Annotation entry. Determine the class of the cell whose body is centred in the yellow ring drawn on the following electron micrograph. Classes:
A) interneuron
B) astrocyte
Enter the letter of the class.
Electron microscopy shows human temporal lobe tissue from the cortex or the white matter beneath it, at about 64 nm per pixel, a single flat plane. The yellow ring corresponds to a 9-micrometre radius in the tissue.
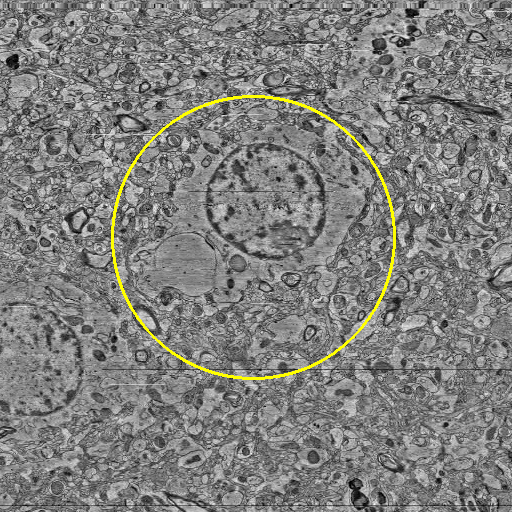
B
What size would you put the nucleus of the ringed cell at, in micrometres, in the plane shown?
Roughly 8 micrometers across, in this plane.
